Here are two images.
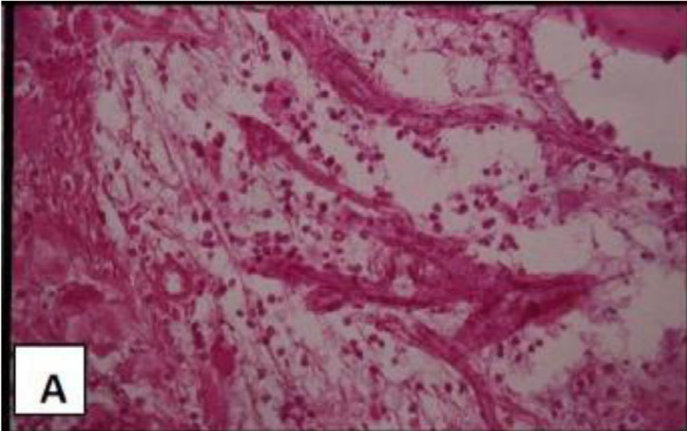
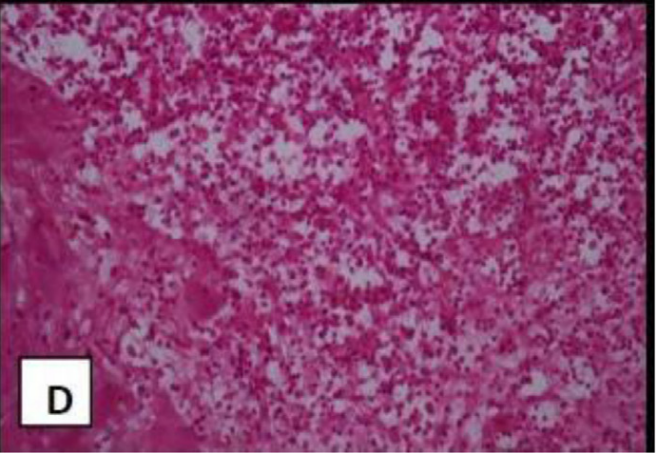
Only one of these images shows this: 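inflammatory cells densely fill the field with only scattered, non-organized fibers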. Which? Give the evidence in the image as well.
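First image: distinct pink fiber bundles run across the field with fewer cells scattered among them. Second image: small dark round cells crowd nearly the whole field, with few thin, irregular pink fibers. So: the second image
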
